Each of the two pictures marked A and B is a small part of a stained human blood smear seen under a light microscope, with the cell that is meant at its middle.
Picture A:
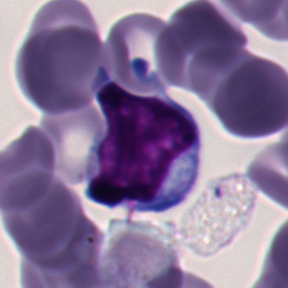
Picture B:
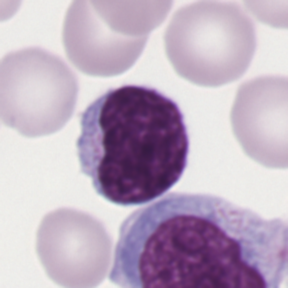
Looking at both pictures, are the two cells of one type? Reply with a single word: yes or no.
yes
